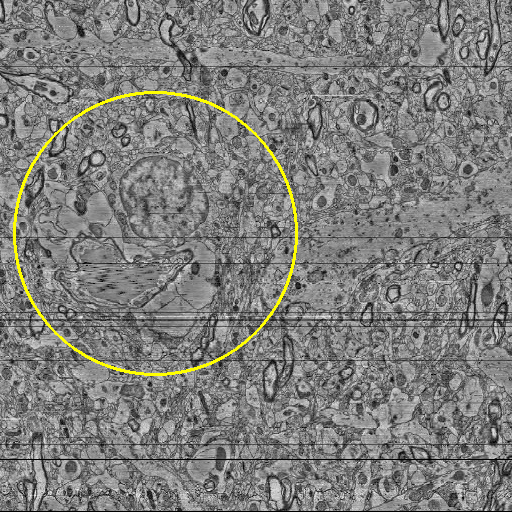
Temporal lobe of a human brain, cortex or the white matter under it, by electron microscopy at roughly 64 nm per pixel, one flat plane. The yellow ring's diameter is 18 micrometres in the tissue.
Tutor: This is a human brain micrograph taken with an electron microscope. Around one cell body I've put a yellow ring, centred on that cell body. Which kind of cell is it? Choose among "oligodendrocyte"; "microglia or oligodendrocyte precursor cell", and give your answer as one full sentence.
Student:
Going by your list, the cell centred in the yellow ring is an oligodendrocyte.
